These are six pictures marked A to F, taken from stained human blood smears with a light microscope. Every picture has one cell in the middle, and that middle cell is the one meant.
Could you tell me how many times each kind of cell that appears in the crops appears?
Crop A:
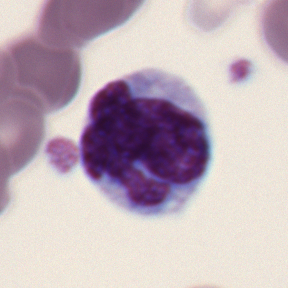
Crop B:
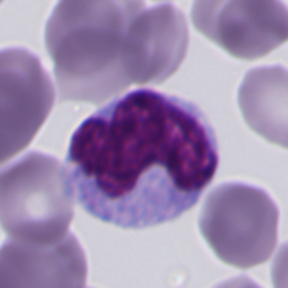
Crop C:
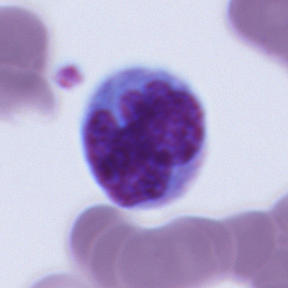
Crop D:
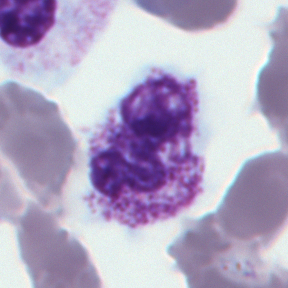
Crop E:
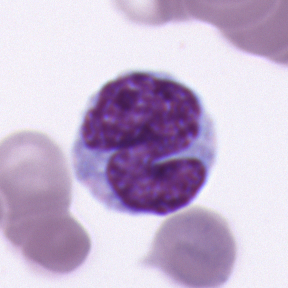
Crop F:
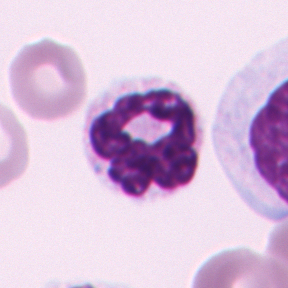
monocyte: 4
neutrophil: 2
